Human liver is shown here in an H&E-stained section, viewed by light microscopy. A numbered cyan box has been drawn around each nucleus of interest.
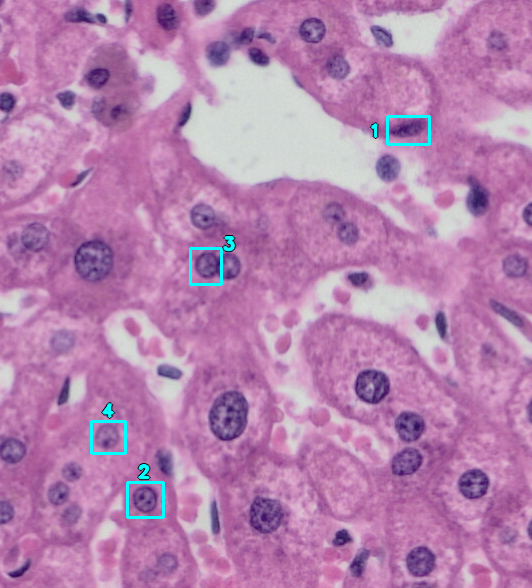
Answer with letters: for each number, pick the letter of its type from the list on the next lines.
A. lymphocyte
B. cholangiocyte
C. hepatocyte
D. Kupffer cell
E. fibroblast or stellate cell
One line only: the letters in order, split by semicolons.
E; C; C; C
